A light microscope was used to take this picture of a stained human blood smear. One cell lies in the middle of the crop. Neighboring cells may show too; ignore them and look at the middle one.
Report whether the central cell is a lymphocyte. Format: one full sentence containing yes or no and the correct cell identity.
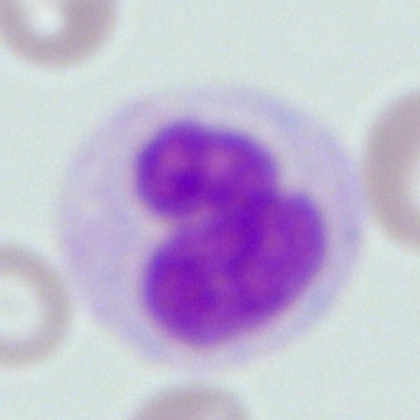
No, the cell located centrally is a monocyte rather than a lymphocyte.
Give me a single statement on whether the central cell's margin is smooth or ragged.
No surface projections are present; the cell outline is smooth.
